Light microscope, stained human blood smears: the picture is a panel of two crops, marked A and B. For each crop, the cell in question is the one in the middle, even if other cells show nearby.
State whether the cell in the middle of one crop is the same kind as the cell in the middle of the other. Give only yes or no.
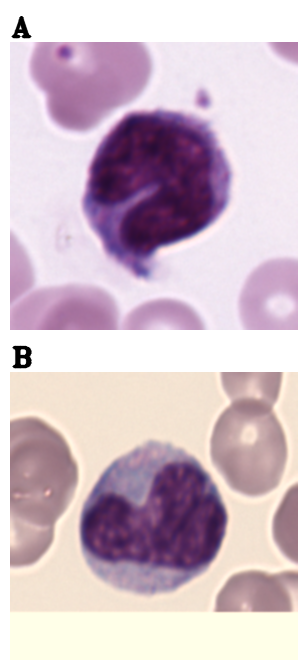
yes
